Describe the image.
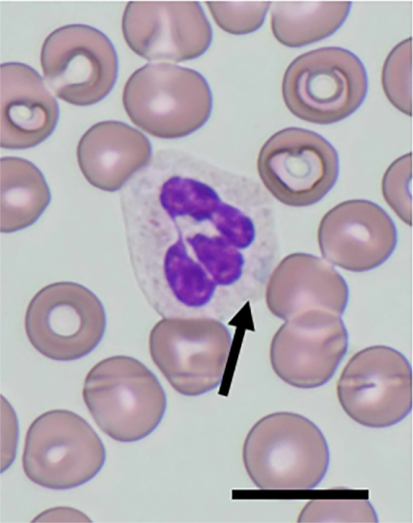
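A single neutrophil sits among pink red blood cells in a blood smear. Its nucleus is deep purple and split into several rounded lobes joined by thin strands, and its cytoplasm is pale with fine pinkish granules. Near the lower edge of the cytoplasm lies a faint pale blue patch, a Döhle-like body. The surrounding red cells are round with central pallor; a few show folds or ring-like shapes from drying. No other white cells are in view.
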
